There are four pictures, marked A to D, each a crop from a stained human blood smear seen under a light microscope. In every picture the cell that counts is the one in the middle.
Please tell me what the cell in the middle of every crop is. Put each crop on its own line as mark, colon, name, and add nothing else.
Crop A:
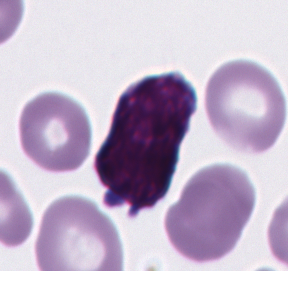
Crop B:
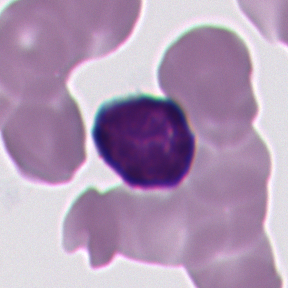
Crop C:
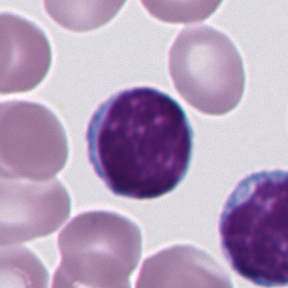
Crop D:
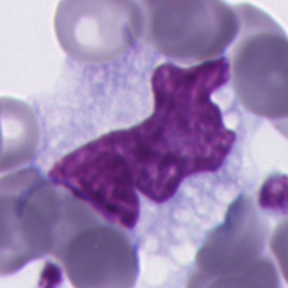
A: myeloblast
B: typical lymphocyte
C: typical lymphocyte
D: monocyte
